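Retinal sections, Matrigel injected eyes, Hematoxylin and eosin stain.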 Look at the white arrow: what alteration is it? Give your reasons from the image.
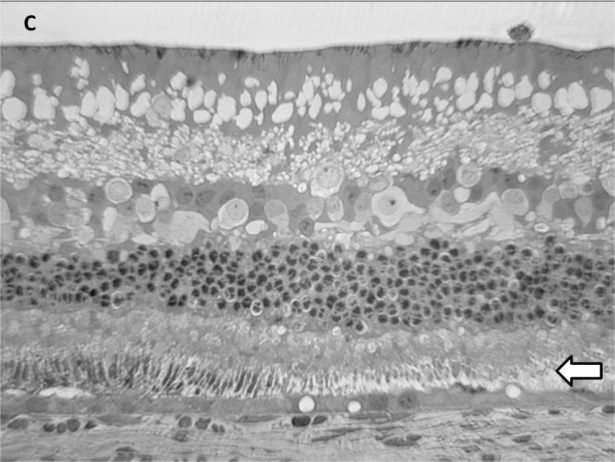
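Disrupted photoreceptor outer segments. The arrow points at the striated band just above the pigmented cell layer. The striations in that band are short and irregular, with pale gaps.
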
